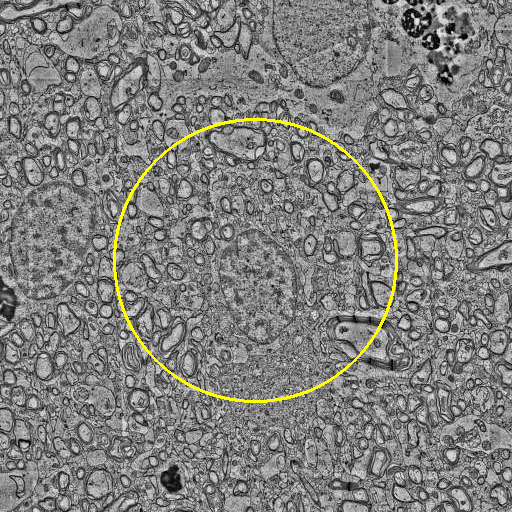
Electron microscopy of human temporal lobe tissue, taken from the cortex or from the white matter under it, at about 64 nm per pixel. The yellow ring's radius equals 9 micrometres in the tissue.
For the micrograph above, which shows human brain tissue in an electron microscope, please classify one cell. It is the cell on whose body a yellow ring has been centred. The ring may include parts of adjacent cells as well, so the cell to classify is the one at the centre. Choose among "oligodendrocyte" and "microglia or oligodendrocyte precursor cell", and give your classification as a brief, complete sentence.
I classify this cell as an oligodendrocyte.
